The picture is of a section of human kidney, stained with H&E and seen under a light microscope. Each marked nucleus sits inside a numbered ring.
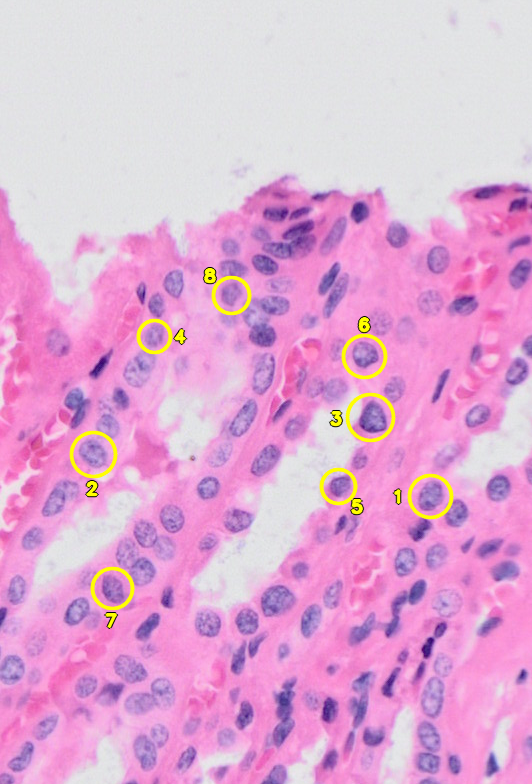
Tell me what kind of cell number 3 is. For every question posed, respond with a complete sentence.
To a loop of Henle or distal tubule cell belongs the nucleus marked 3.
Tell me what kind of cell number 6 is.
The cell indicated by marker 6 is a loop of Henle or distal tubule cell in this section.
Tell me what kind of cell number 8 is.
The expected answer is that cell 8 is a collecting duct cell.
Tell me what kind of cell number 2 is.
Belonging to a collecting duct cell is the nucleus that carries the number 2.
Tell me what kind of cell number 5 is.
The cell that carries the label 5 is a loop of Henle or distal tubule cell.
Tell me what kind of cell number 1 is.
As for number 1, that cell is a loop of Henle or distal tubule cell.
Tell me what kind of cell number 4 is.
Classified as a collecting duct cell is the cell with the number 4.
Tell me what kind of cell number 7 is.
The cell that carries the label 7 is a collecting duct cell.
